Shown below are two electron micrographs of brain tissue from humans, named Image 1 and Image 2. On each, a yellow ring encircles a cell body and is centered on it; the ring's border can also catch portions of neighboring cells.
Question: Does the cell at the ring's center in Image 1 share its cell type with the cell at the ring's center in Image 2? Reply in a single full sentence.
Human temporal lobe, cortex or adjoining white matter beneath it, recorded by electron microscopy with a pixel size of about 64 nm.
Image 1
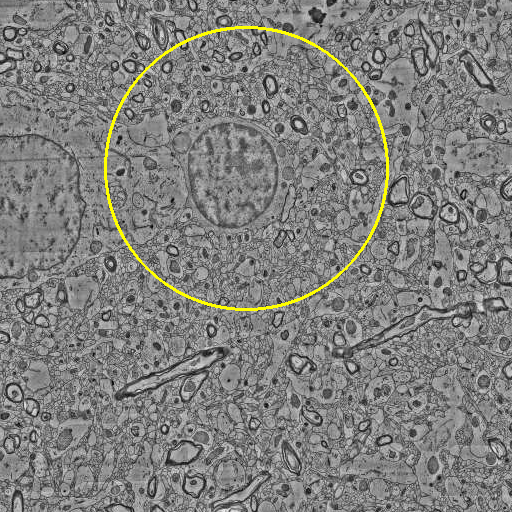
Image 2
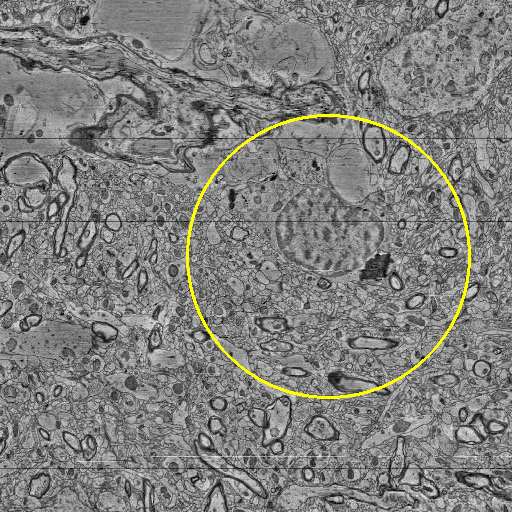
Yes, the two cells at the ring centers, in Image 1 and Image 2, share one cell type.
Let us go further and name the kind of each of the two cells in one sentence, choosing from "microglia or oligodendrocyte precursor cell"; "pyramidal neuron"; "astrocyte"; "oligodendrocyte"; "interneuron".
Each cell, in the first picture and the second, is an oligodendrocyte.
